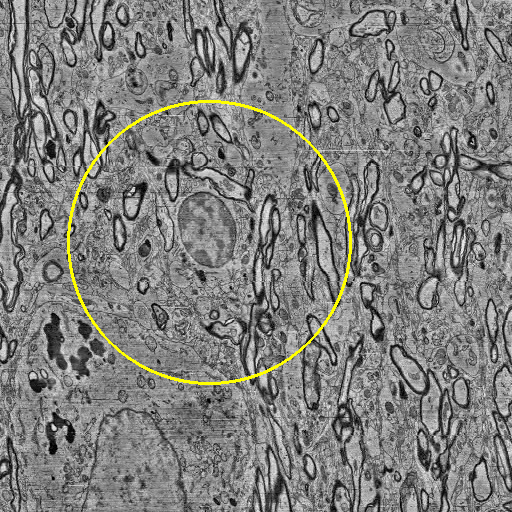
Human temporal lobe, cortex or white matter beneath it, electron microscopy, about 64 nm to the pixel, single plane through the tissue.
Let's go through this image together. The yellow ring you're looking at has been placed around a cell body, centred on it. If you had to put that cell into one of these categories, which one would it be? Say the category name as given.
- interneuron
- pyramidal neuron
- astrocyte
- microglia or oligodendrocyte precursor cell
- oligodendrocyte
microglia or oligodendrocyte precursor cell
